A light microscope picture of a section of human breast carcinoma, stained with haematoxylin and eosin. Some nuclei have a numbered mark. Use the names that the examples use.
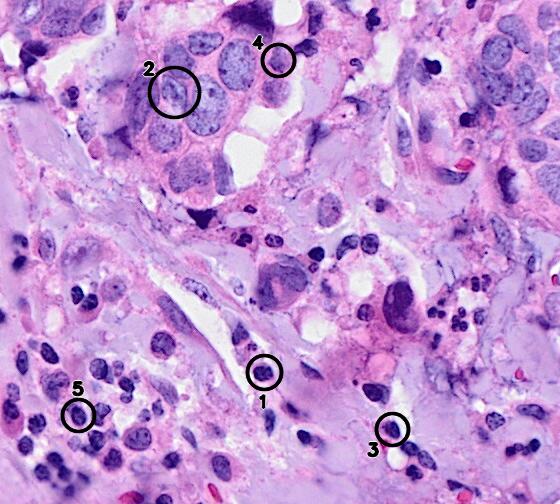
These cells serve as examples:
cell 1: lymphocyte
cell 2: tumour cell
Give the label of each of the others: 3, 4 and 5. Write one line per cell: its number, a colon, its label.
3: lymphocyte
4: tumour cell
5: lymphocyte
